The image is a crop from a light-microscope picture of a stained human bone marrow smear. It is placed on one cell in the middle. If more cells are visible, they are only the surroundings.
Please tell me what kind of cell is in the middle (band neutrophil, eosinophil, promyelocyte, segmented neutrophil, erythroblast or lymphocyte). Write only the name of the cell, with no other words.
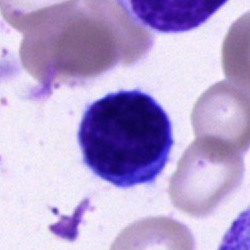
lymphocyte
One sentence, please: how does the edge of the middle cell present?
Worth noting that the cell border is smooth and lacks projections.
